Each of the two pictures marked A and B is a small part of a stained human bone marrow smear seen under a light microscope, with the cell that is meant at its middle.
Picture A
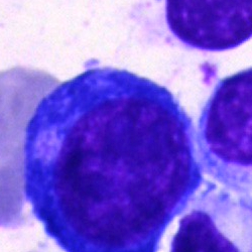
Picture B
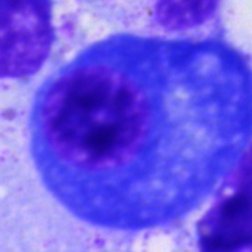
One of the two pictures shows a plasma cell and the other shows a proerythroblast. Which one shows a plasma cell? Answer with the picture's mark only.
B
